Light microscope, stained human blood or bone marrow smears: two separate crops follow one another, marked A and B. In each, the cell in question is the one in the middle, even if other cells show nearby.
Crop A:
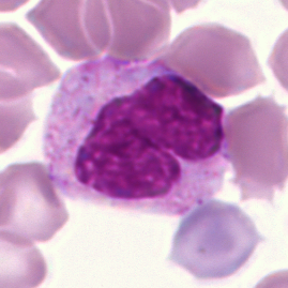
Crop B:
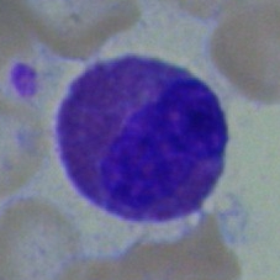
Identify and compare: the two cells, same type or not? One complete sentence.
No, for crop A the cell is a band neutrophil, and for crop B it is an eosinophil.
